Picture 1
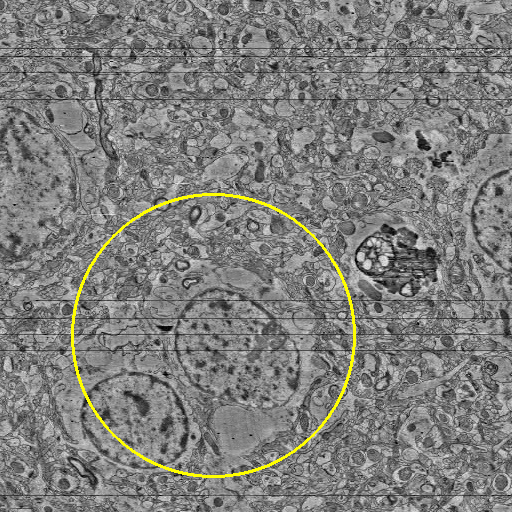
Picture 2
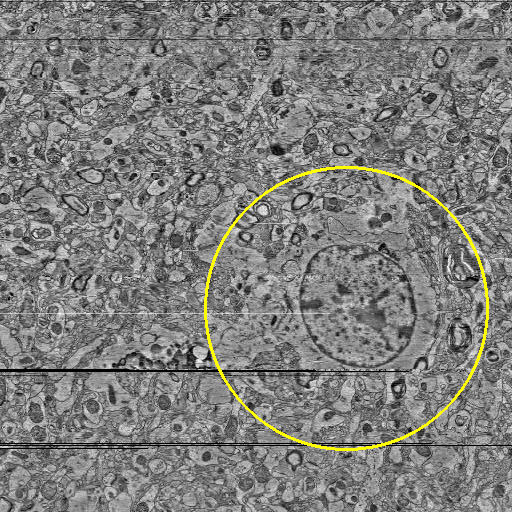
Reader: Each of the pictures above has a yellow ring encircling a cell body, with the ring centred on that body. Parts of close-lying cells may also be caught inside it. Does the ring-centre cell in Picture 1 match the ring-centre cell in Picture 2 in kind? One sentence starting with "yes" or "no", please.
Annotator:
Yes, Picture 1 and Picture 2 show ring-centre cells of a single kind.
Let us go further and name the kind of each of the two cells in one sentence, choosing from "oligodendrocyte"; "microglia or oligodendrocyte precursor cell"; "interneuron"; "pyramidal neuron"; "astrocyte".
In each picture the ringed cell is an astrocyte.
